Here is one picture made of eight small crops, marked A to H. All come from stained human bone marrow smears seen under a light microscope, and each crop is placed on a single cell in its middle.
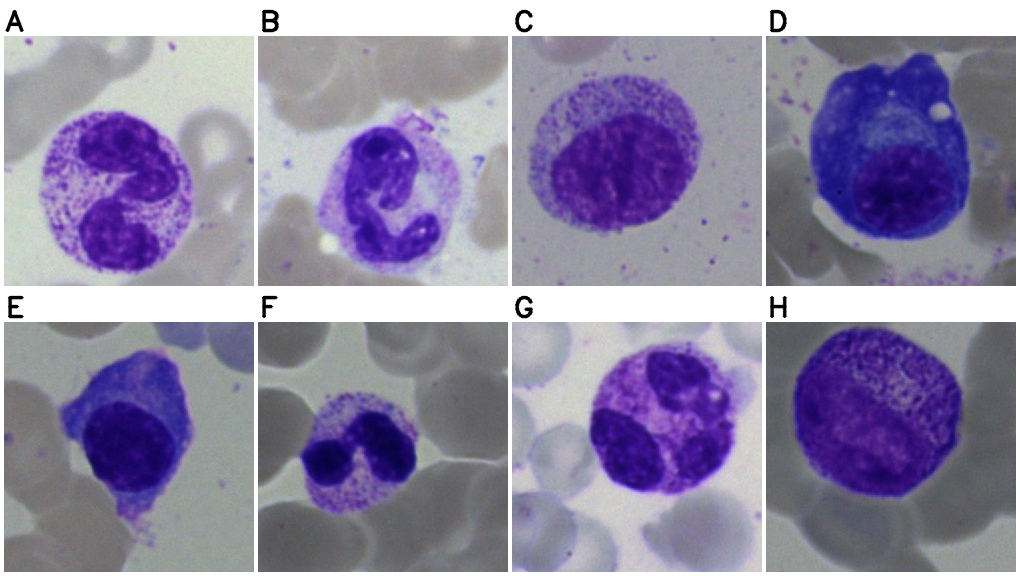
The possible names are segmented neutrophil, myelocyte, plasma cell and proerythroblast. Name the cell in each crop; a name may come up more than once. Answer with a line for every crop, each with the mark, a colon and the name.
A: segmented neutrophil
B: segmented neutrophil
C: myelocyte
D: plasma cell
E: plasma cell
F: segmented neutrophil
G: segmented neutrophil
H: myelocyte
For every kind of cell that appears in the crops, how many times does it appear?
segmented neutrophil: 4
myelocyte: 2
plasma cell: 2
